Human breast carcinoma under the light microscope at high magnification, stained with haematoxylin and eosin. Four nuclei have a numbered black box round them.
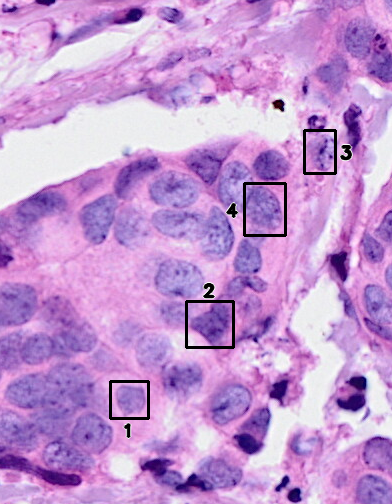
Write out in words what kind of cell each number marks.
Cell 1 is a carcinoma cell, cell 2 is a carcinoma cell, cell 3 is a macrophage, monocyte or dendritic cell and cell 4 is a carcinoma cell.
